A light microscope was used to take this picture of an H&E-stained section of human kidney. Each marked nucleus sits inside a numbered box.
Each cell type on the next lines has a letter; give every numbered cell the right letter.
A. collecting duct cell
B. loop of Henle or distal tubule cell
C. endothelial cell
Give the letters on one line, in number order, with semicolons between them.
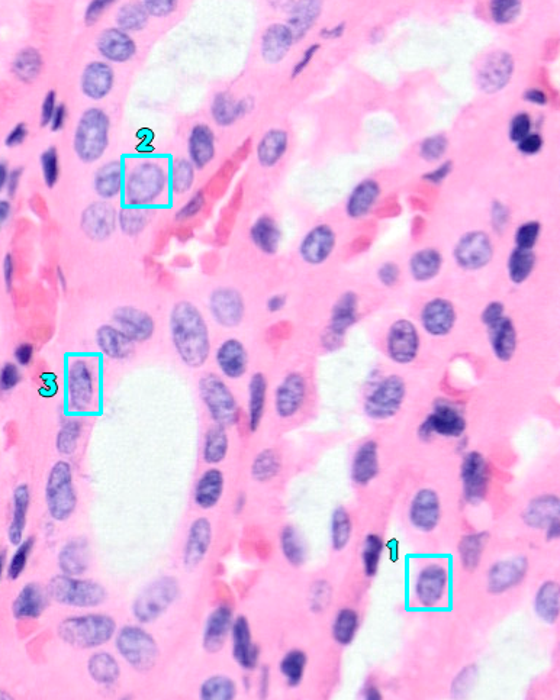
B; A; A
